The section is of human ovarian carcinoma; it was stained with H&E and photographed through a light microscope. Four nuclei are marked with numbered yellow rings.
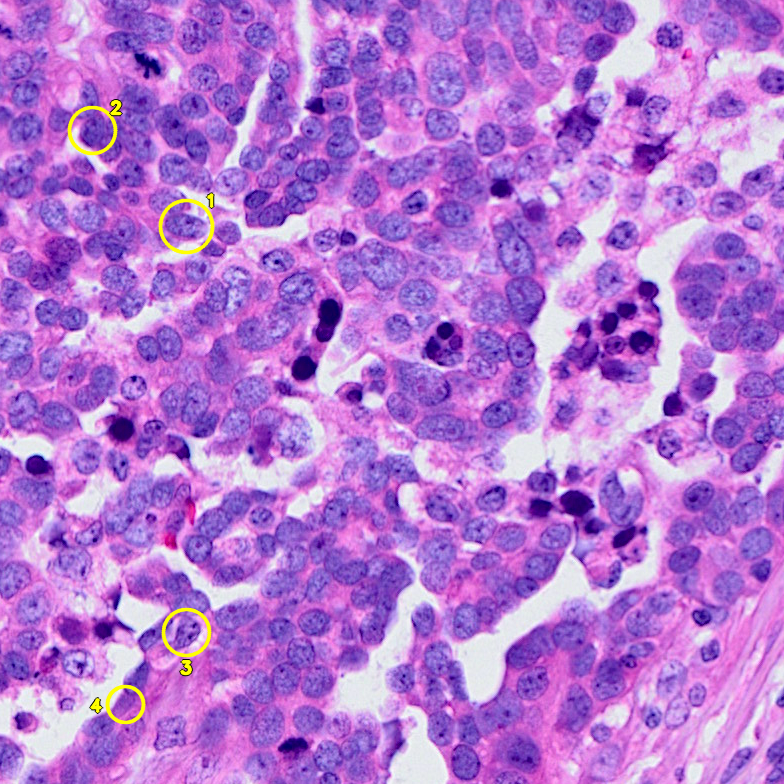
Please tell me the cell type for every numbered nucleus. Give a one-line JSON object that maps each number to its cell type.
{"1": "carcinoma cell", "2": "carcinoma cell", "3": "macrophage or monocyte", "4": "carcinoma cell"}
